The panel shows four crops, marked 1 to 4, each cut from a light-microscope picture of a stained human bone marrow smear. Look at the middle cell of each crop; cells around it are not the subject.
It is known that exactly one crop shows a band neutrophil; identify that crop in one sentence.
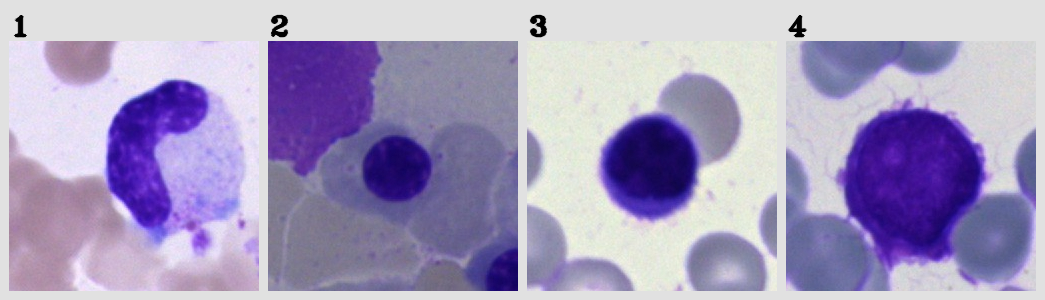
The crop carrying a band neutrophil at the center is crop 1.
